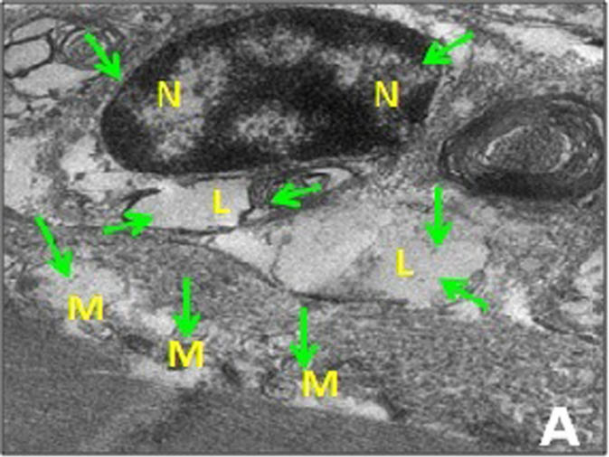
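Below the nucleus lie several pale, smooth, irregularly shaped lipid droplets with little internal texture. Beneath them runs a band of cytoplasm holding the mitochondria, seen as pale patches along a darker, finely textured strip. To the right of the nucleus is a round body made of tightly packed concentric membranes, like layers of an onion. The lower left corner is occupied by a dense, fibrous-looking region.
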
